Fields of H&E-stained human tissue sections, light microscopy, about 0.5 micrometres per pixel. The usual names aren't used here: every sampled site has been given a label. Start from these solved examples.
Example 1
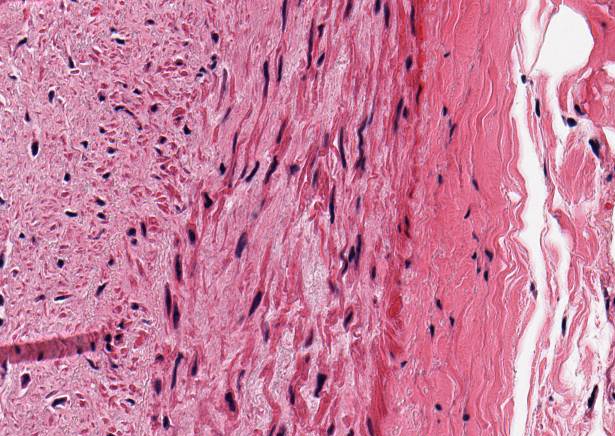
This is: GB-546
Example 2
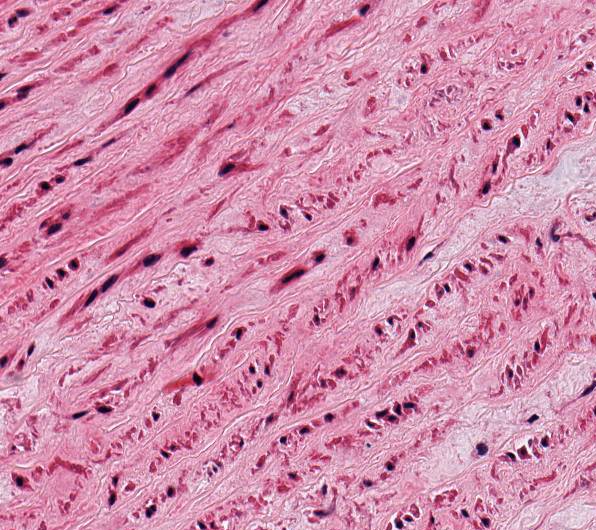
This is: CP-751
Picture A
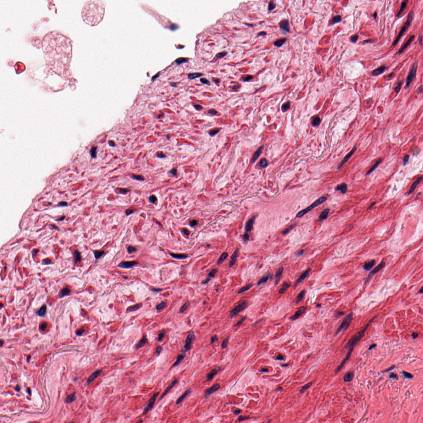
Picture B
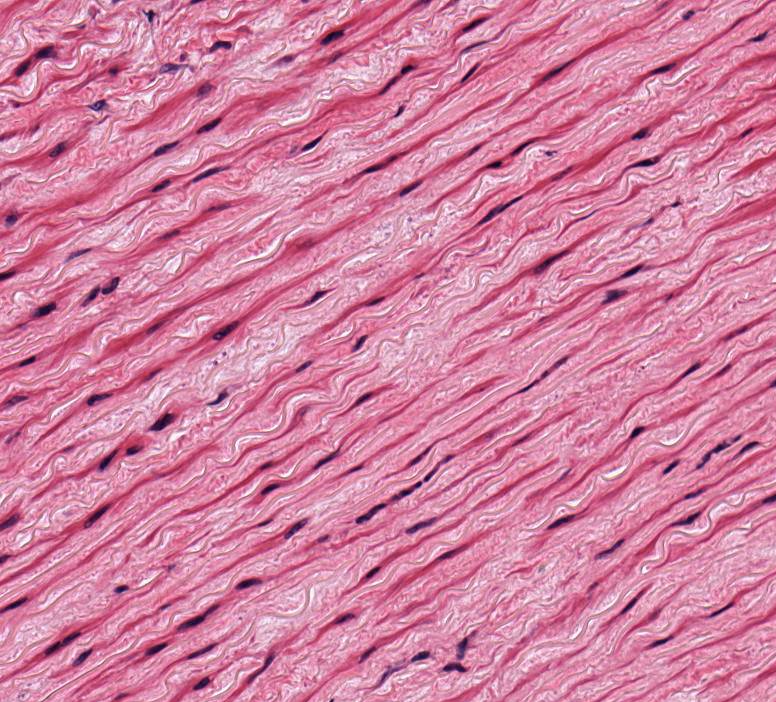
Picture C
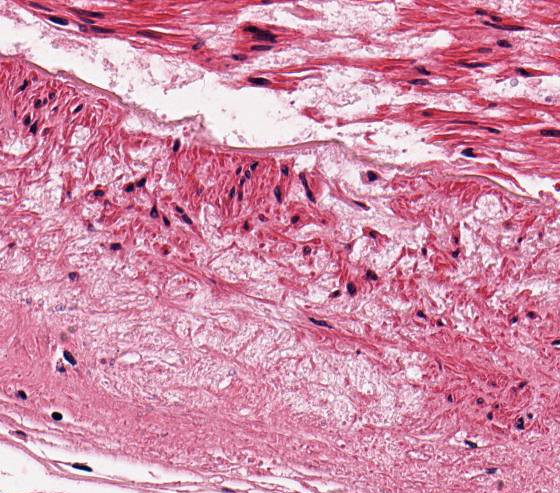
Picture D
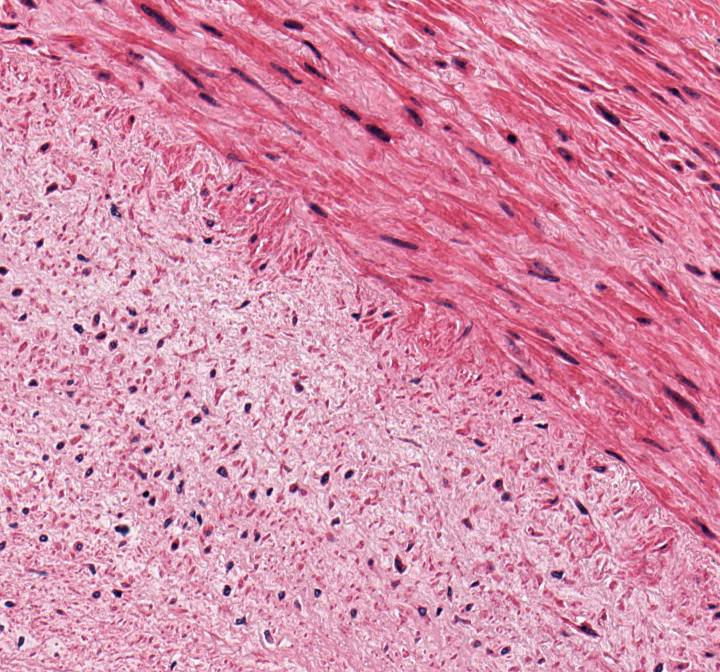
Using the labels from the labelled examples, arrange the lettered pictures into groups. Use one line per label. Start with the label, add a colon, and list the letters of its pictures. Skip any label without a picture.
GB-546: A, C, D
CP-751: B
